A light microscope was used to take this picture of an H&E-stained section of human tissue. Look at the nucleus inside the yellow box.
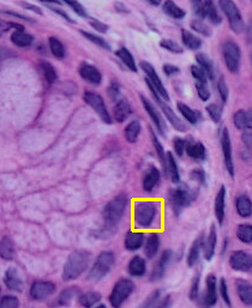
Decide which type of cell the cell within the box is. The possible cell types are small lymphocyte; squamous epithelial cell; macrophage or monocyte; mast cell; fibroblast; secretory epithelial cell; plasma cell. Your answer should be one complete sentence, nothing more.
The expected answer is simply that the cell within the box is a secretory epithelial cell.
